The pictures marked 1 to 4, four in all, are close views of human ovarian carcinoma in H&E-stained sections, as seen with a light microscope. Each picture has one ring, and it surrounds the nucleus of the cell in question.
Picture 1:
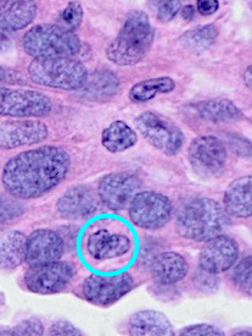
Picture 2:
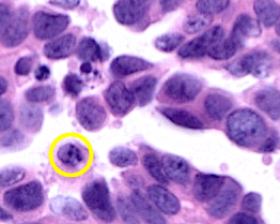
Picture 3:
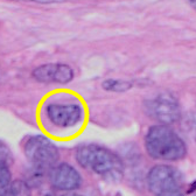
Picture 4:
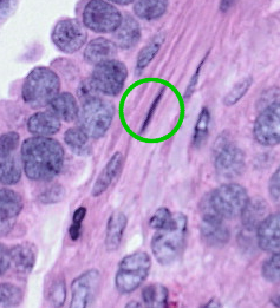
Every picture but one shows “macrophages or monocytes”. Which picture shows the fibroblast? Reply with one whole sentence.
Picture 4 shows the fibroblast.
